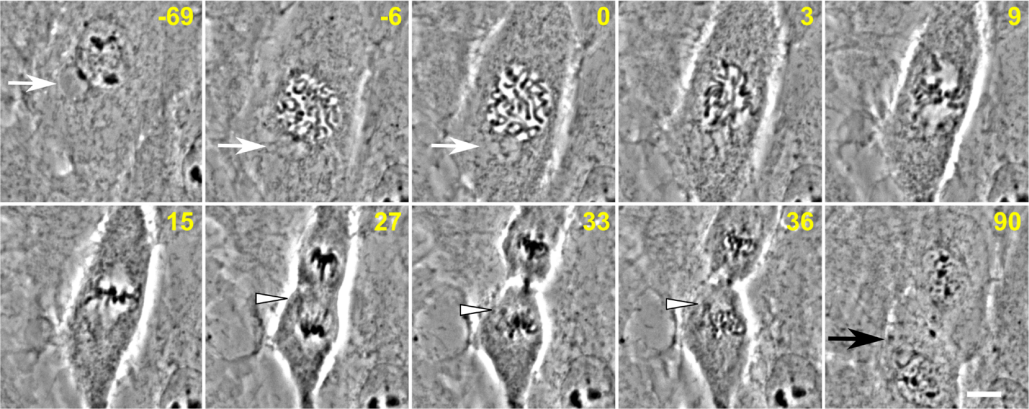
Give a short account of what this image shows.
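An elongated cell first shows an interphase nucleus with a small round body next to it, then a mass of condensing worm-like chromosomes. The chromosomes line up in a band across the middle of the spindle-shaped cell and then move apart into two dark groups while the cell pinches in at its middle. This is a mitosis in which a lagging chromosome gives rise to a new micronucleus in one daughter cell.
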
